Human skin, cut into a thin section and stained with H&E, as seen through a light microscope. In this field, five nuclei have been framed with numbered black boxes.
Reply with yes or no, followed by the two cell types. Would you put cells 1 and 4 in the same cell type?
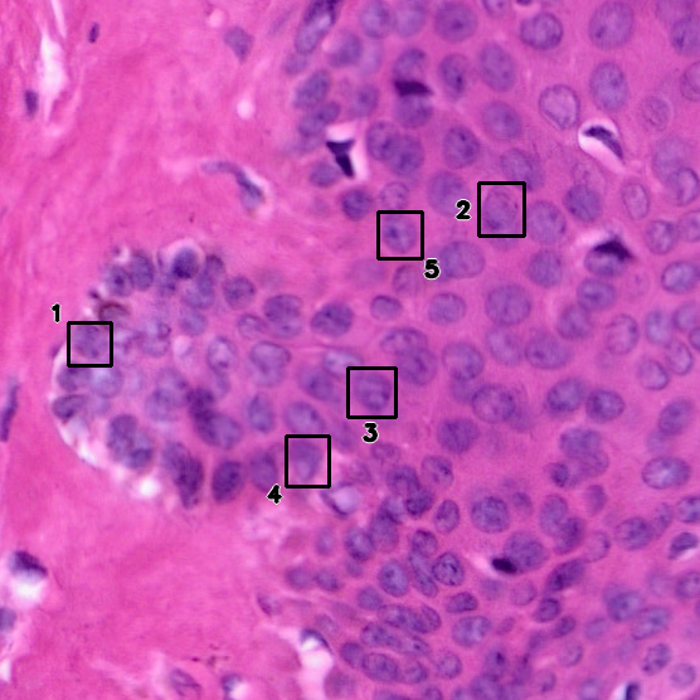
Yes, cells 1 and 4 are both to be classed as basal keratinocytes.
